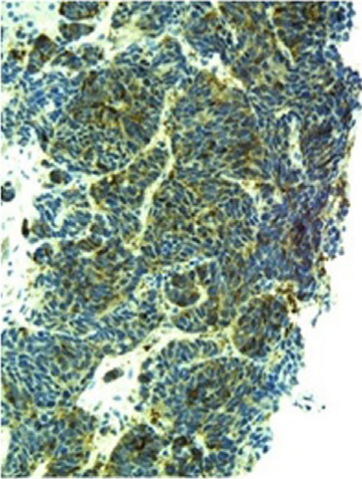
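Crowded small cells with blue, oval to round nuclei are arranged in broad nests and sheets. Thin pale strands of loose tissue run between them. The scant cytoplasm between the nuclei carries a light to moderate brown, granular stain, which gives the nests a brownish tint overall. The stain is stronger in some areas, for example along the right edge. The nuclei themselves stay blue, so the stain lies in the cytoplasm rather than the nucleus. The cells are small, closely packed and have little cytoplasm, and the brown stain is spread diffusely through the cell nests.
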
